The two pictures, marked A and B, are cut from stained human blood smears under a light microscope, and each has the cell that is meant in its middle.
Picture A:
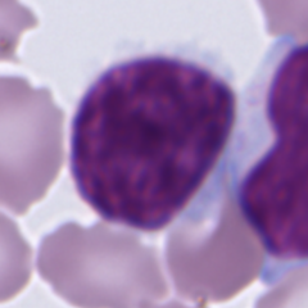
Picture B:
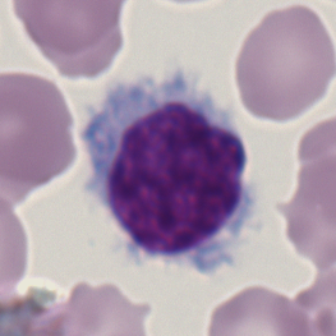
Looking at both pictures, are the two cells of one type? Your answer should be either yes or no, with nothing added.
yes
